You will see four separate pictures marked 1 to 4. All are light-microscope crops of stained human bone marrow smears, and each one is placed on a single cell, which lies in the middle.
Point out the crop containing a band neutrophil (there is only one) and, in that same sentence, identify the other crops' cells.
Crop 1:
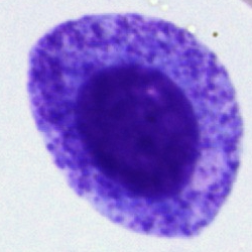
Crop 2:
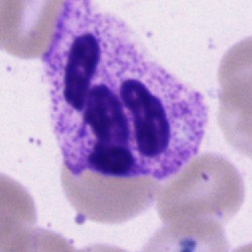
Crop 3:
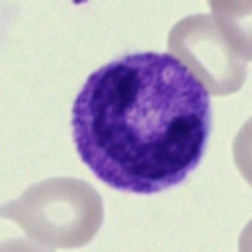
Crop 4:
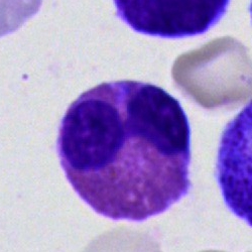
Crop 3 carries a band neutrophil in its middle, whereas crop 1 is a promyelocyte, crop 2 is a segmented neutrophil and crop 4 is an eosinophil.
